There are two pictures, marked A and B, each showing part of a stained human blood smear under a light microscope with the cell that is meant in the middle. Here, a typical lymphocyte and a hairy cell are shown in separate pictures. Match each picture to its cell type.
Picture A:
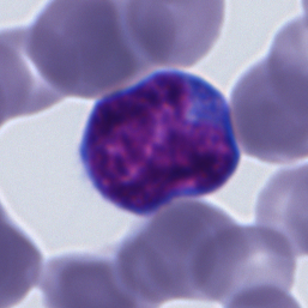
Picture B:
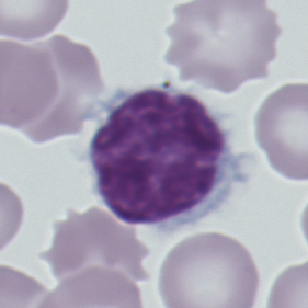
A: typical lymphocyte
B: hairy cell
